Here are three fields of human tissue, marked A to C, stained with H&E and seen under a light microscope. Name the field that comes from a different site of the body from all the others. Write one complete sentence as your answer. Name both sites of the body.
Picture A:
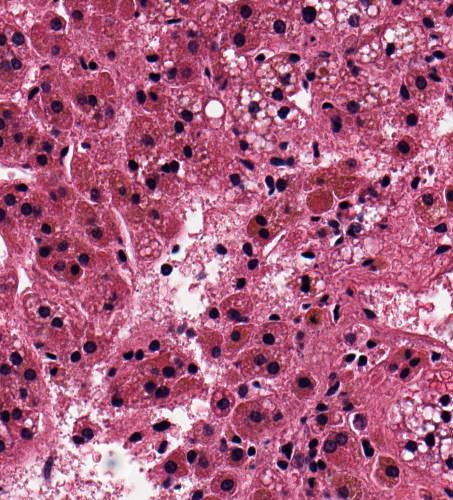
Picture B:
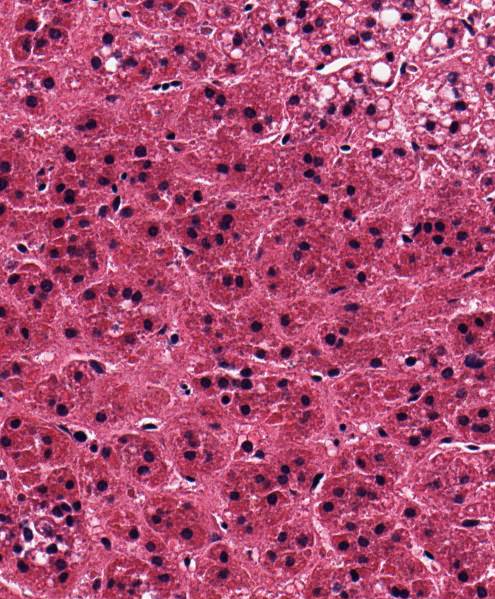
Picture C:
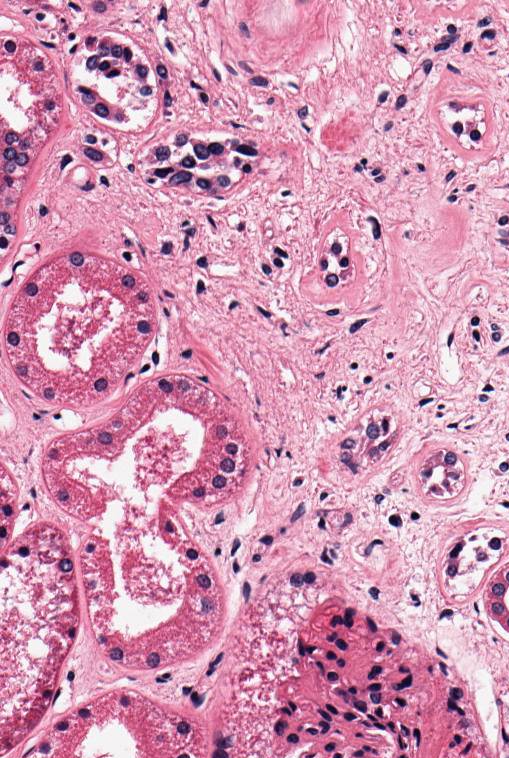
The others come from the adrenal gland, but picture C comes from the renal cortex.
